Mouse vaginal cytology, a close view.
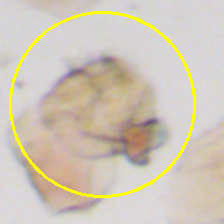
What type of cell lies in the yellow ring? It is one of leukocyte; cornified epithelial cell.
The ringed cell is a cornified epithelial cell.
